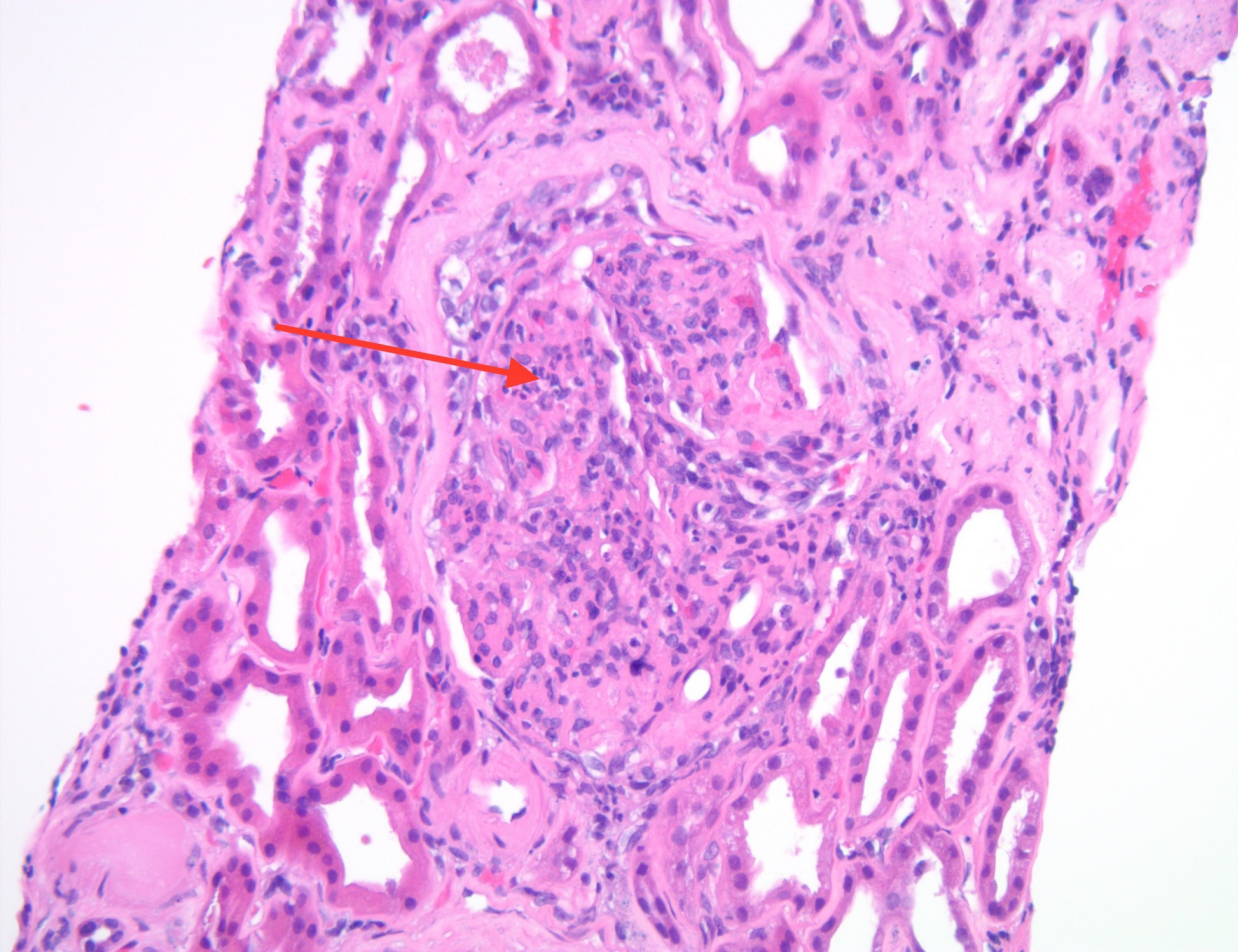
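This is renal cortex with a single glomerulus in the centre, surrounded by tubules. The glomerular tuft is strikingly hypercellular: small, dark purple nuclei are crowded throughout it, so that the capillary loops are mostly closed and only a few small open lumens remain. The tuft fills much of Bowman's space and is enclosed by a pink capsule. Around it, the tubules are lined by cuboidal epithelial cells with round nuclei and pink cytoplasm, with open lumens, some containing pink material. Scattered interstitial nuclei lie between the tubules, and a few red blood cells are seen at the upper right.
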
